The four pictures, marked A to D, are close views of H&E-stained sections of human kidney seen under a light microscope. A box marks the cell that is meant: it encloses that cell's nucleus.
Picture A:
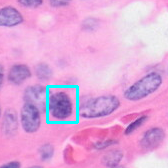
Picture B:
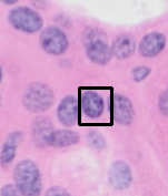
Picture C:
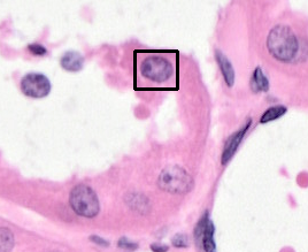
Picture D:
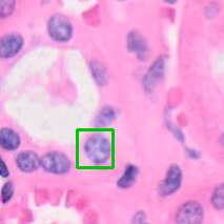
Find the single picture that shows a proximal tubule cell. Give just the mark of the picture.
C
